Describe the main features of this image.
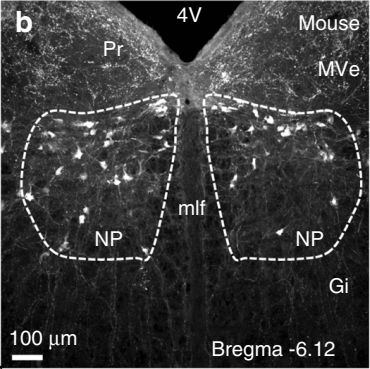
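Dorsal brainstem beneath the floor of the fourth ventricle, with a group of labeled neurons on each side of a midline fibre bundle. The bright neuronal cell bodies are small and multipolar, lie mostly in the upper part of each outlined area, and send thin processes downward and sideways. Dense labeled fibres fill the tissue just below the ventricle floor.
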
